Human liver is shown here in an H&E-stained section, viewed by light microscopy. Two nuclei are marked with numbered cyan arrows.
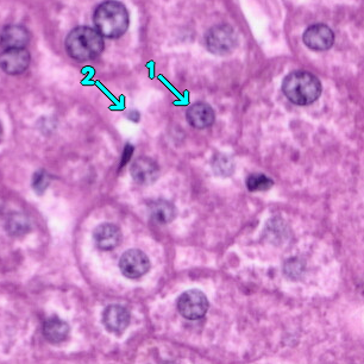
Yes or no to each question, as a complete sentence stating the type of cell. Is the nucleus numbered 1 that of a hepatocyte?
Yes, the cell identified by number 1 is a hepatocyte.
